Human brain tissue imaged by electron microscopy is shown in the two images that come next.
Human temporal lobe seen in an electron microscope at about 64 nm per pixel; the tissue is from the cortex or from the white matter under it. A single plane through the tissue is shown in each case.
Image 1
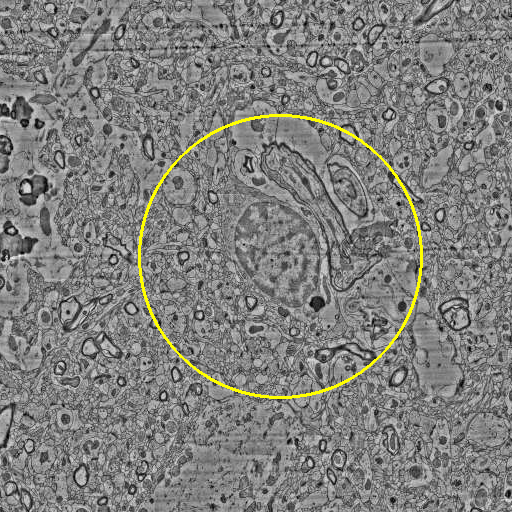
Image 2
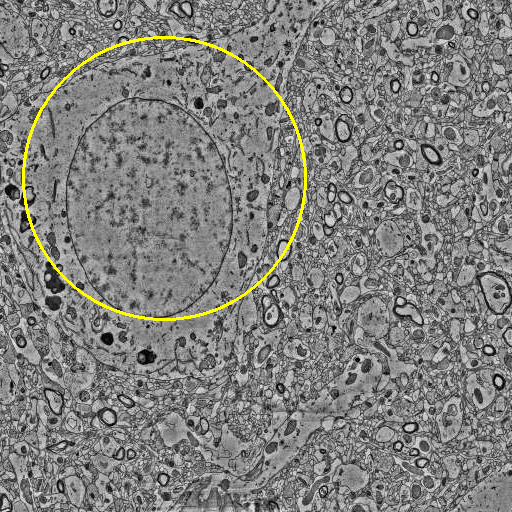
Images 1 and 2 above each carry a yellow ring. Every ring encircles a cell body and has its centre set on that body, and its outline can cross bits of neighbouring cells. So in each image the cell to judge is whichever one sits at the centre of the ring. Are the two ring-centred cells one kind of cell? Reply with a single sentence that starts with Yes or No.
No, in Image 1 and Image 2 the cells at the centres of their rings fall into two types.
